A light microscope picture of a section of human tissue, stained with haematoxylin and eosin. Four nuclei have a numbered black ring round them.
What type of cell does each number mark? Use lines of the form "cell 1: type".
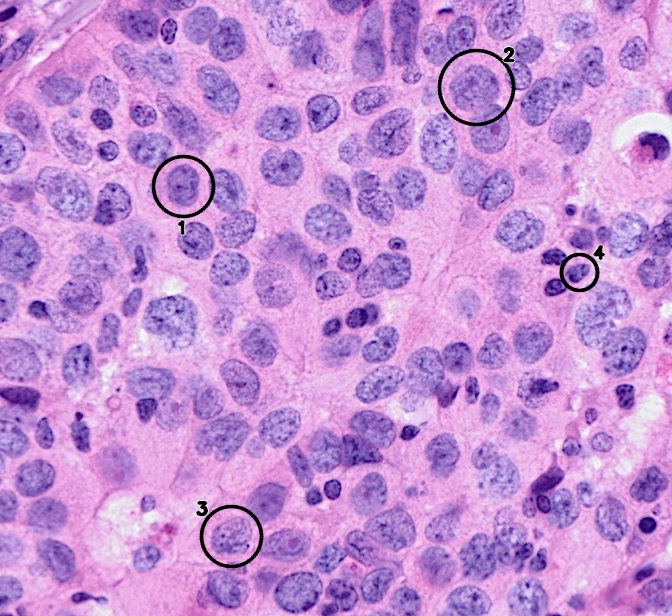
cell 1: carcinoma cell
cell 2: carcinoma cell
cell 3: carcinoma cell
cell 4: lymphocyte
